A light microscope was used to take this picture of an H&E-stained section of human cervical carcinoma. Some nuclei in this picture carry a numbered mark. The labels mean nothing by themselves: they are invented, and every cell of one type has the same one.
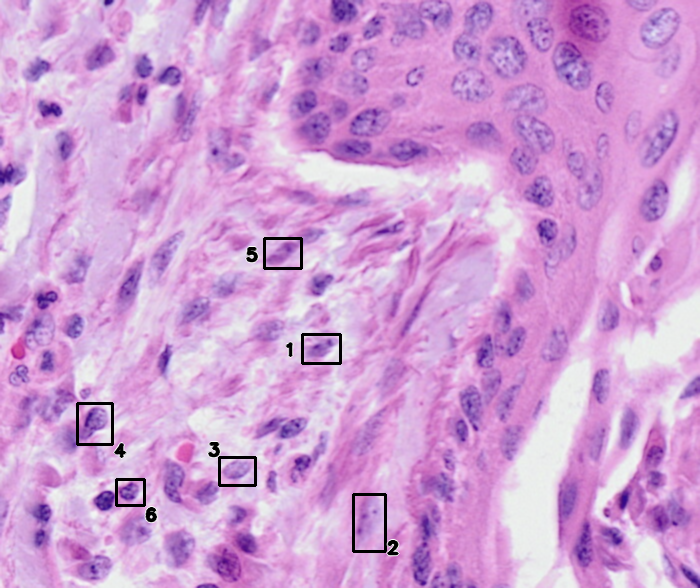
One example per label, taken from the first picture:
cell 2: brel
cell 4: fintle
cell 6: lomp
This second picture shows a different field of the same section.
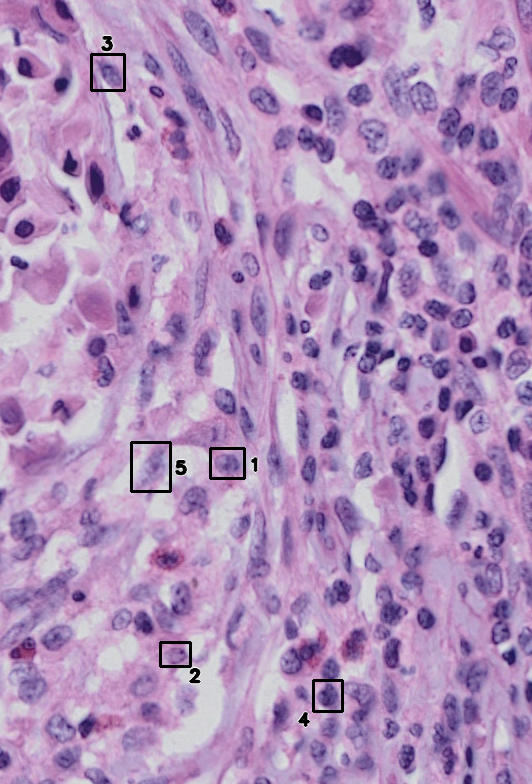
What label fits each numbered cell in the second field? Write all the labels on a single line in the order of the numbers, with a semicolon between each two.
fintle; fintle; fintle; lomp; brel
